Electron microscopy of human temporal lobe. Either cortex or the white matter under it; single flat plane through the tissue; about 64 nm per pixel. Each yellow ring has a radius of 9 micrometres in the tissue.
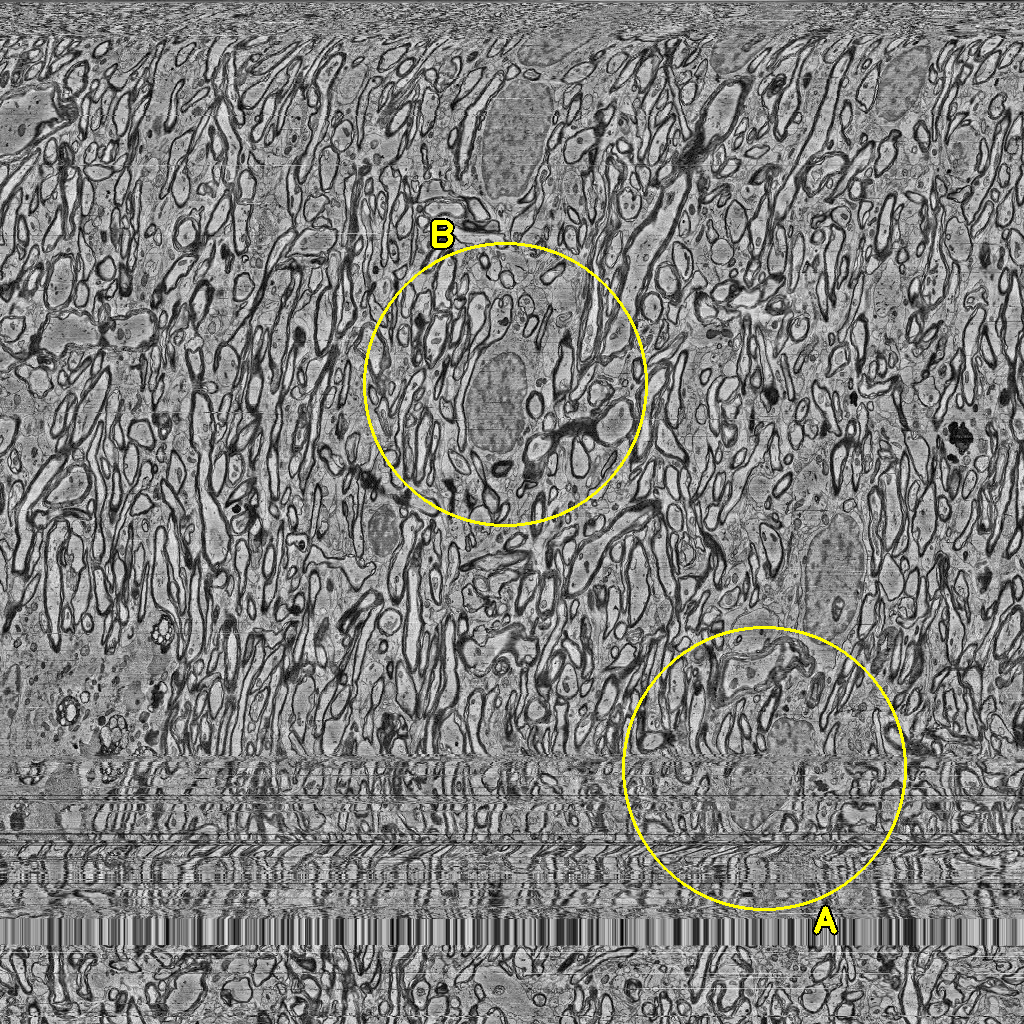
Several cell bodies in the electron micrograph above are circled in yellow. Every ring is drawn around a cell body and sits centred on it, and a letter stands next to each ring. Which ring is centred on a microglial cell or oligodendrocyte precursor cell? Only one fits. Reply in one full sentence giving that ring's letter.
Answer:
The ring centred on the cell asked for is Ring A.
